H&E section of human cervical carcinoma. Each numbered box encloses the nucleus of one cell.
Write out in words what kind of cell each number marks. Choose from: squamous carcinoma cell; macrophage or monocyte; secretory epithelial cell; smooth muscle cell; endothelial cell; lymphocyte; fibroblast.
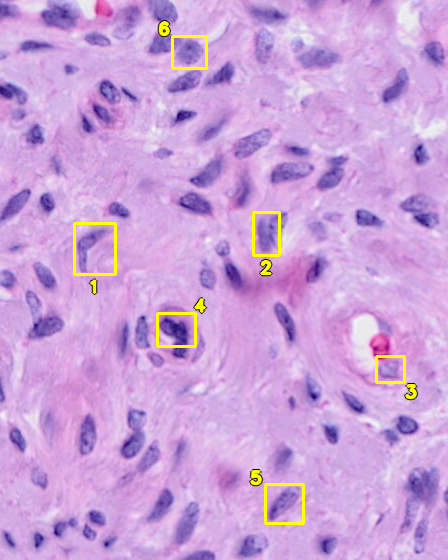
Cells 1, 2, 5 and 6 are fibroblasts. Cells 3 and 4 are endothelial cells.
